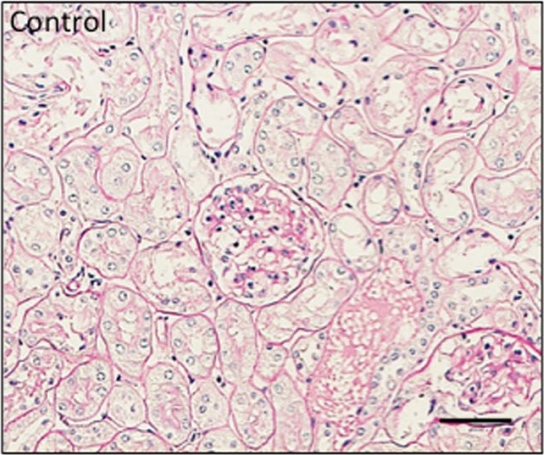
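Renal cortex with glomeruli and surrounding tubules. Two glomeruli are visible as round capillary tufts within Bowman's capsule, the capillary loop walls and mesangial areas outlined in magenta with dark blue nuclei scattered through the tuft. Around them lie closely packed tubular cross-sections lined by cuboidal epithelial cells with pale cytoplasm and round central nuclei, each tubule bounded by a thin magenta basement membrane. Interstitium between tubules is scant with occasional elongated nuclei. No scarring, casts or inflammatory infiltrate are evident.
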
